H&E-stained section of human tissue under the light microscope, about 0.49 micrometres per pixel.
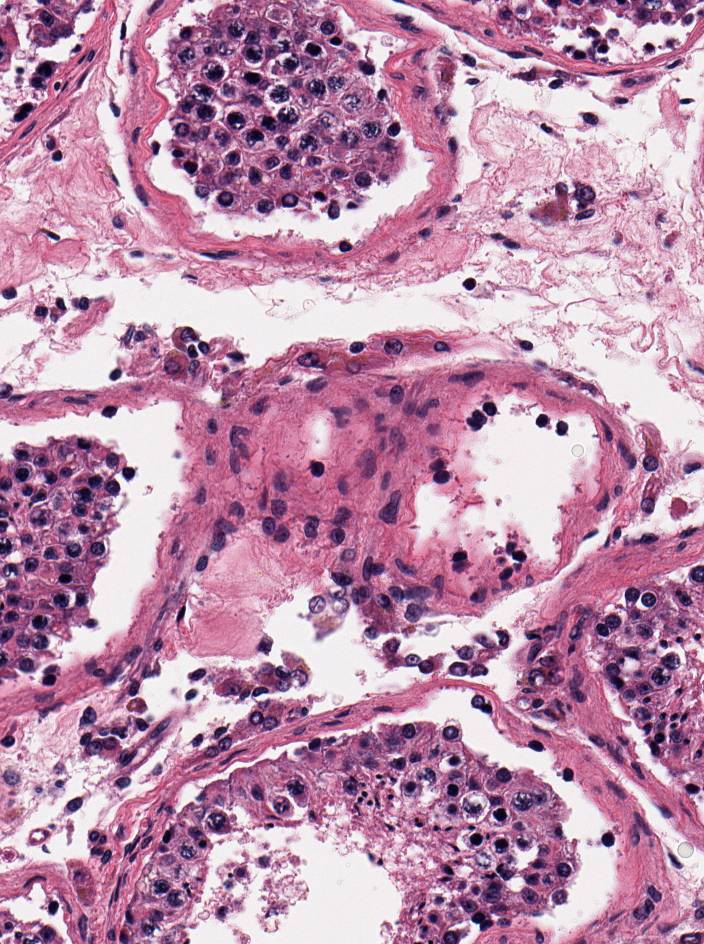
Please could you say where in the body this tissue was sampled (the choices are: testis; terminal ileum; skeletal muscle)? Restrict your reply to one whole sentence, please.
For this section, tissue was sampled from the testis.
